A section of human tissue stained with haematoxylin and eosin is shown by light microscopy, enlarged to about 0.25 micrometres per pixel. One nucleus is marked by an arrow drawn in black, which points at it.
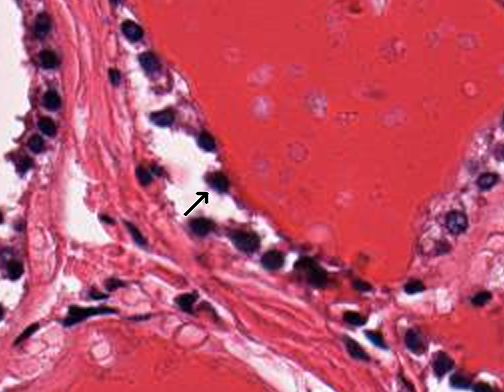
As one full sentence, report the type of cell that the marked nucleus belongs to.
Here it is a thyroid follicular cell that the marked nucleus belongs to.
